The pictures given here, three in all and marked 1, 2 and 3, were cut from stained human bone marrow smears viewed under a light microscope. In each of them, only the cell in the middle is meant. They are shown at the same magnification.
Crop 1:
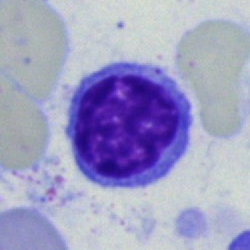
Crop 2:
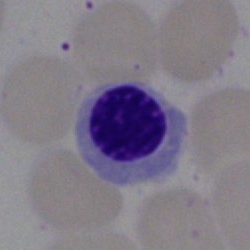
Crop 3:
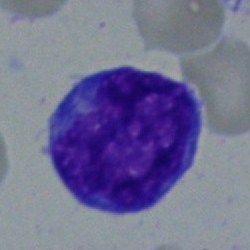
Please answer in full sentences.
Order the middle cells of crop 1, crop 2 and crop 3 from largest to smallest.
Largest first: 3, 1, 2.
